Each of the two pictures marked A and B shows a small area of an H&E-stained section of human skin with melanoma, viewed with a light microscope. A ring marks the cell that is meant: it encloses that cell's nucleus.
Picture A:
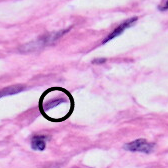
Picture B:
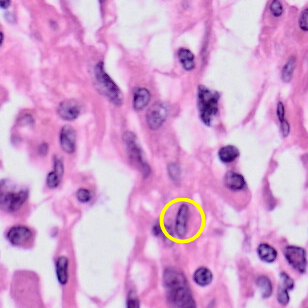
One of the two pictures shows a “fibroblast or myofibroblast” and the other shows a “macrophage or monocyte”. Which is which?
A: fibroblast or myofibroblast
B: macrophage or monocyte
